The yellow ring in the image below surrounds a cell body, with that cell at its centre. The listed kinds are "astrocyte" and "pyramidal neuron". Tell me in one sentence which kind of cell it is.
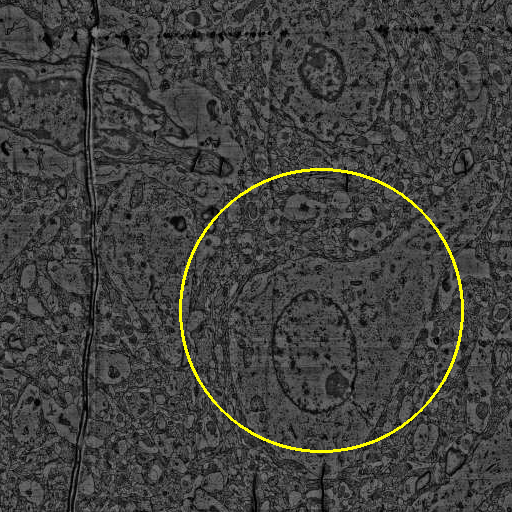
The centre of the ring holds a pyramidal neuron.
